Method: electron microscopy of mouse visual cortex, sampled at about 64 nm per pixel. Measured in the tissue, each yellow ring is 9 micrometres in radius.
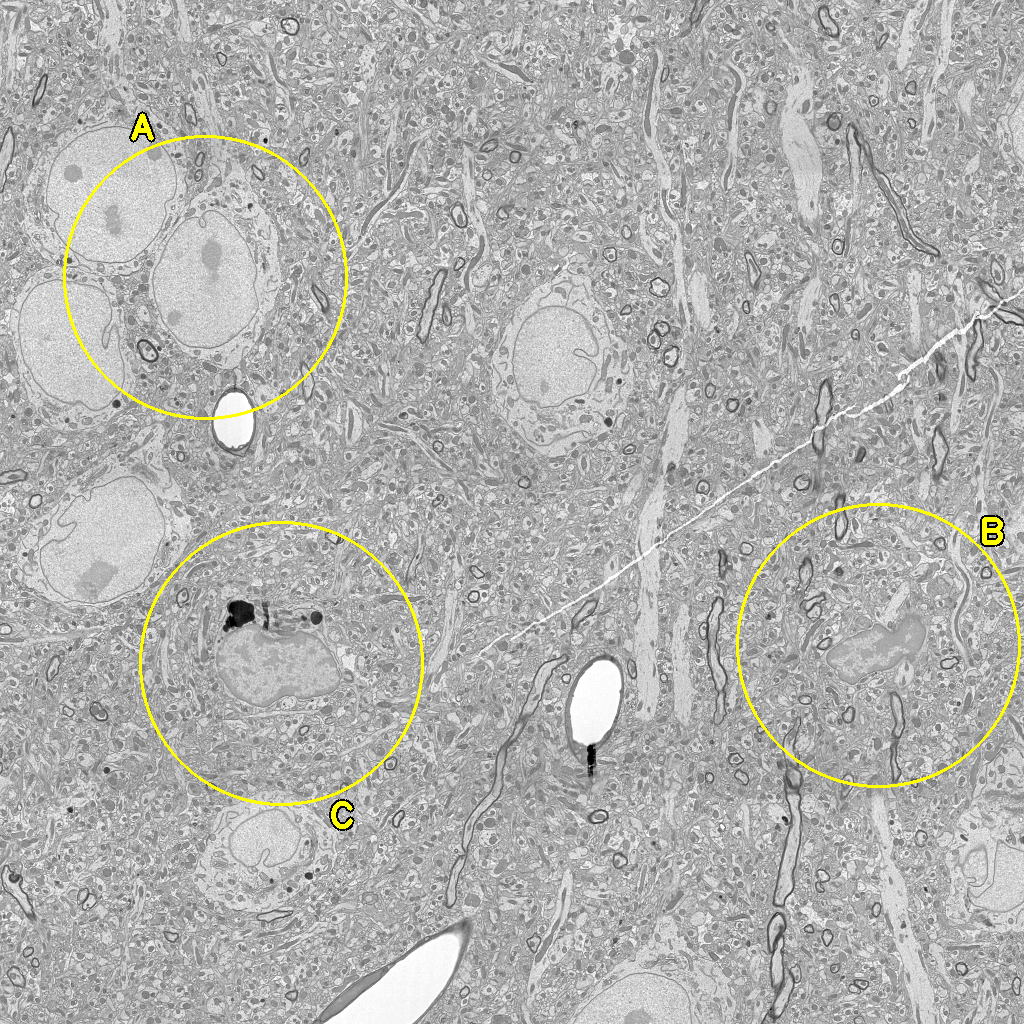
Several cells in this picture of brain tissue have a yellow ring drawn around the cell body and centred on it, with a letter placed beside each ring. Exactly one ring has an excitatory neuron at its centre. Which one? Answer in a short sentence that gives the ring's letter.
Ring A is centred on it.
